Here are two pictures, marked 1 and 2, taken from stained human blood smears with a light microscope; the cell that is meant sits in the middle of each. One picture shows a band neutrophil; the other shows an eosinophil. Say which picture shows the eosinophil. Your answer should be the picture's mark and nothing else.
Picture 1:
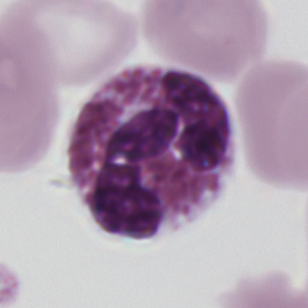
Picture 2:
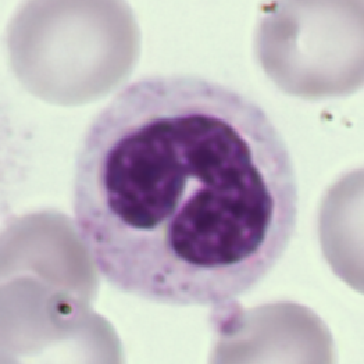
1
